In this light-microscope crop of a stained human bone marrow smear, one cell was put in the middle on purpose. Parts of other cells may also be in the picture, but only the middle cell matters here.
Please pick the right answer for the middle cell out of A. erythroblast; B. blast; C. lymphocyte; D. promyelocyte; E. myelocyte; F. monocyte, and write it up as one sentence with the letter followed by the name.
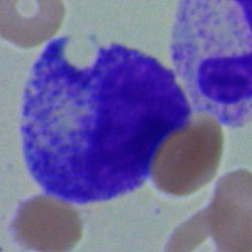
The correct option here is E; the middle cell is a myelocyte.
